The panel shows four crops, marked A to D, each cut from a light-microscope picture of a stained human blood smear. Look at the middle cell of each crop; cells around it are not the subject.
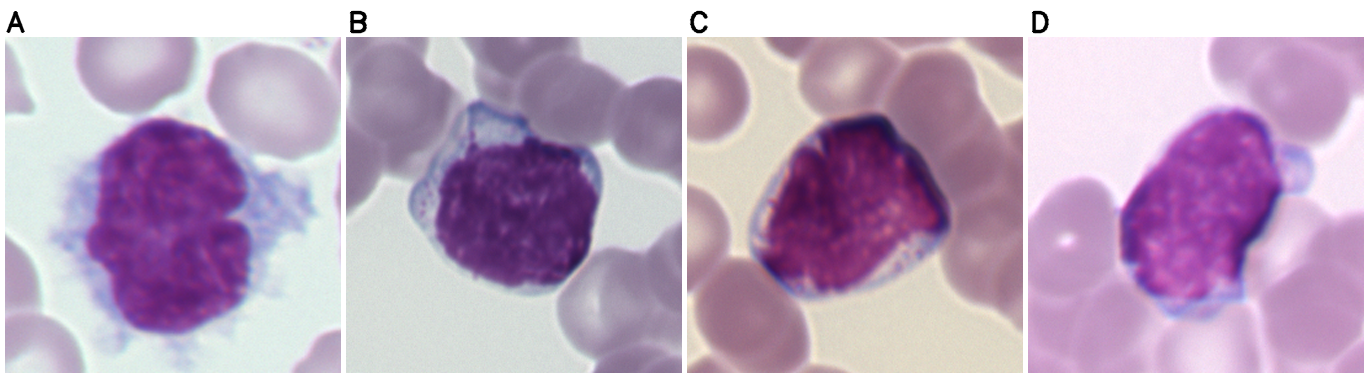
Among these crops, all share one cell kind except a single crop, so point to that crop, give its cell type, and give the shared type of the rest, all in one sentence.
In contrast to the other crops, all of which show large granular lymphocytes, crop A shows a hairy cell.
